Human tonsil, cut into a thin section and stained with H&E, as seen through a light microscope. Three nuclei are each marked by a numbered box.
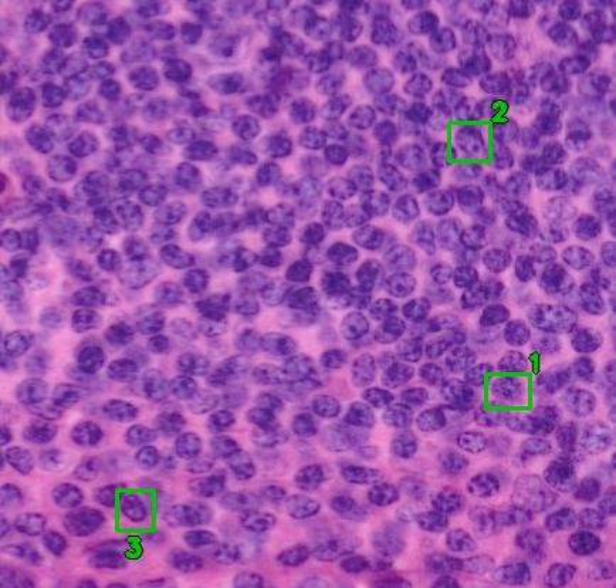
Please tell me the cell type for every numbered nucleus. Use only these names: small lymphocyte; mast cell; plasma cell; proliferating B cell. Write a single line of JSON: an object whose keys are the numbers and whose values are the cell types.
{"1": "small lymphocyte", "2": "small lymphocyte", "3": "plasma cell"}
